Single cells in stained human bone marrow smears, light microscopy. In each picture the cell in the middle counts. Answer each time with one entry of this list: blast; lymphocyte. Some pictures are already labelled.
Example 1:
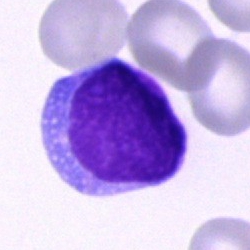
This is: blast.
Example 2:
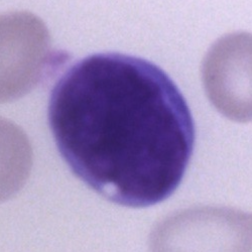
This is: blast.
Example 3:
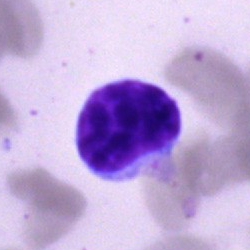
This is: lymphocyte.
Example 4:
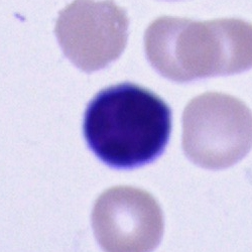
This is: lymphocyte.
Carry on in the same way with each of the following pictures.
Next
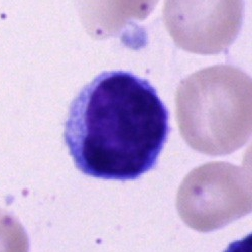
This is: lymphocyte.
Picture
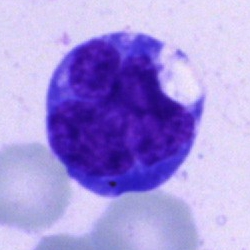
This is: blast.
